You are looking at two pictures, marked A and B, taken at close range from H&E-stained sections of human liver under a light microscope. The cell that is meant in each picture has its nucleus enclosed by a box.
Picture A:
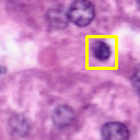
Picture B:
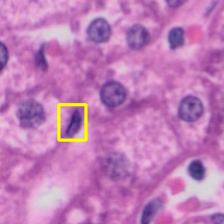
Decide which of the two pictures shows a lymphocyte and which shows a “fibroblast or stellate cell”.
A: lymphocyte
B: fibroblast or stellate cell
